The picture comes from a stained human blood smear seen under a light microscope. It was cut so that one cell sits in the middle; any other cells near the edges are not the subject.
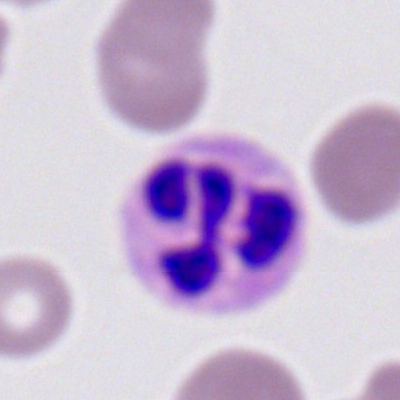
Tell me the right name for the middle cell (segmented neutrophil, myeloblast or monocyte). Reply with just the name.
segmented neutrophil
